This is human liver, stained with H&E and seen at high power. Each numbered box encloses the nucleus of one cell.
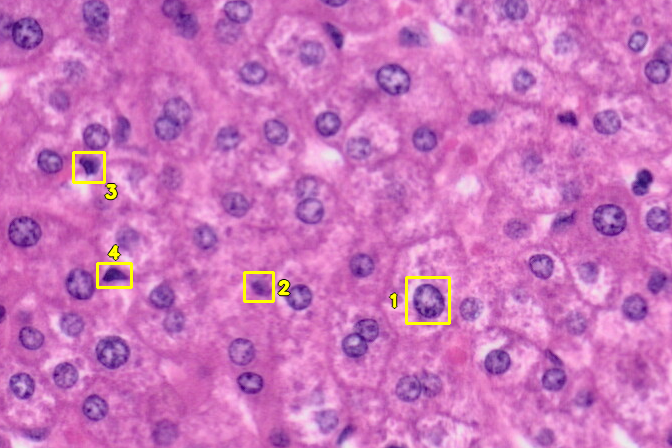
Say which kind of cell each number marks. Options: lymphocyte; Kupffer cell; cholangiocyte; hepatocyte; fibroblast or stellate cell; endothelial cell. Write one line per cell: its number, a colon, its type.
1: hepatocyte
2: endothelial cell
3: fibroblast or stellate cell
4: fibroblast or stellate cell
